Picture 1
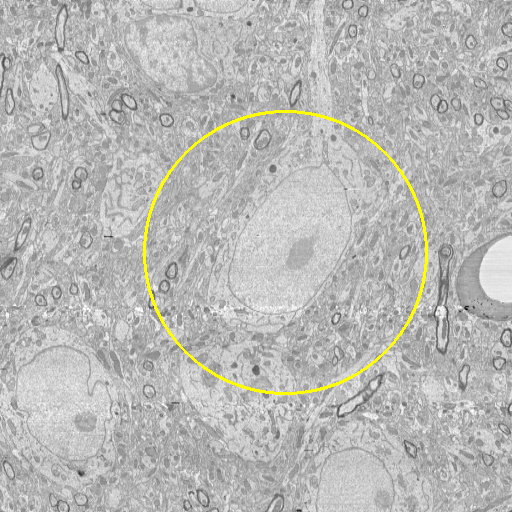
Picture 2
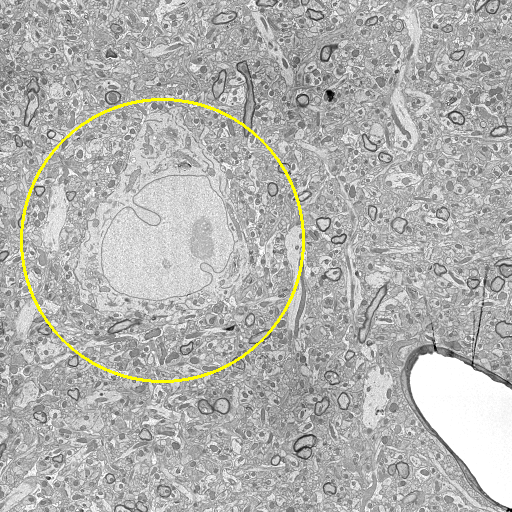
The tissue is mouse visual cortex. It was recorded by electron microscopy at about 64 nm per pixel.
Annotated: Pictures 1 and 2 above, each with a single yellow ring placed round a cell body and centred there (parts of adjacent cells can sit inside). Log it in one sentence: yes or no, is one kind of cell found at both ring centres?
Yes, the ring centres of the two pictures hold cells of one kind.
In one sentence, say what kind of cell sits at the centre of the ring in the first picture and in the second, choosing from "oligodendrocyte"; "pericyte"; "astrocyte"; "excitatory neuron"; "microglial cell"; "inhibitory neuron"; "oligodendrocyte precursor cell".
The cell in the first picture is an excitatory neuron, and so is the one in the second.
